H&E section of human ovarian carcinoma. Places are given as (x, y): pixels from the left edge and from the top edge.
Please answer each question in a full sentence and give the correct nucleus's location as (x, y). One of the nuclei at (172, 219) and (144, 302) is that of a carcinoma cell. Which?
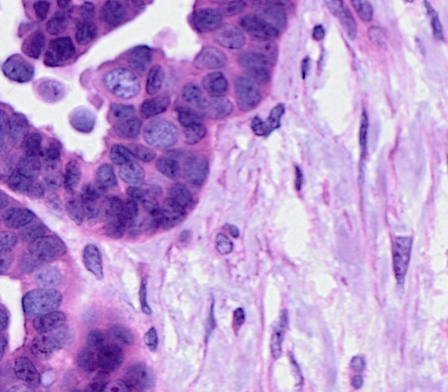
As for which of the two, the nucleus at (172, 219) belongs to a carcinoma cell.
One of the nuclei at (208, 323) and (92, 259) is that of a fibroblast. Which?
Belonging to a fibroblast is the nucleus at (208, 323).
